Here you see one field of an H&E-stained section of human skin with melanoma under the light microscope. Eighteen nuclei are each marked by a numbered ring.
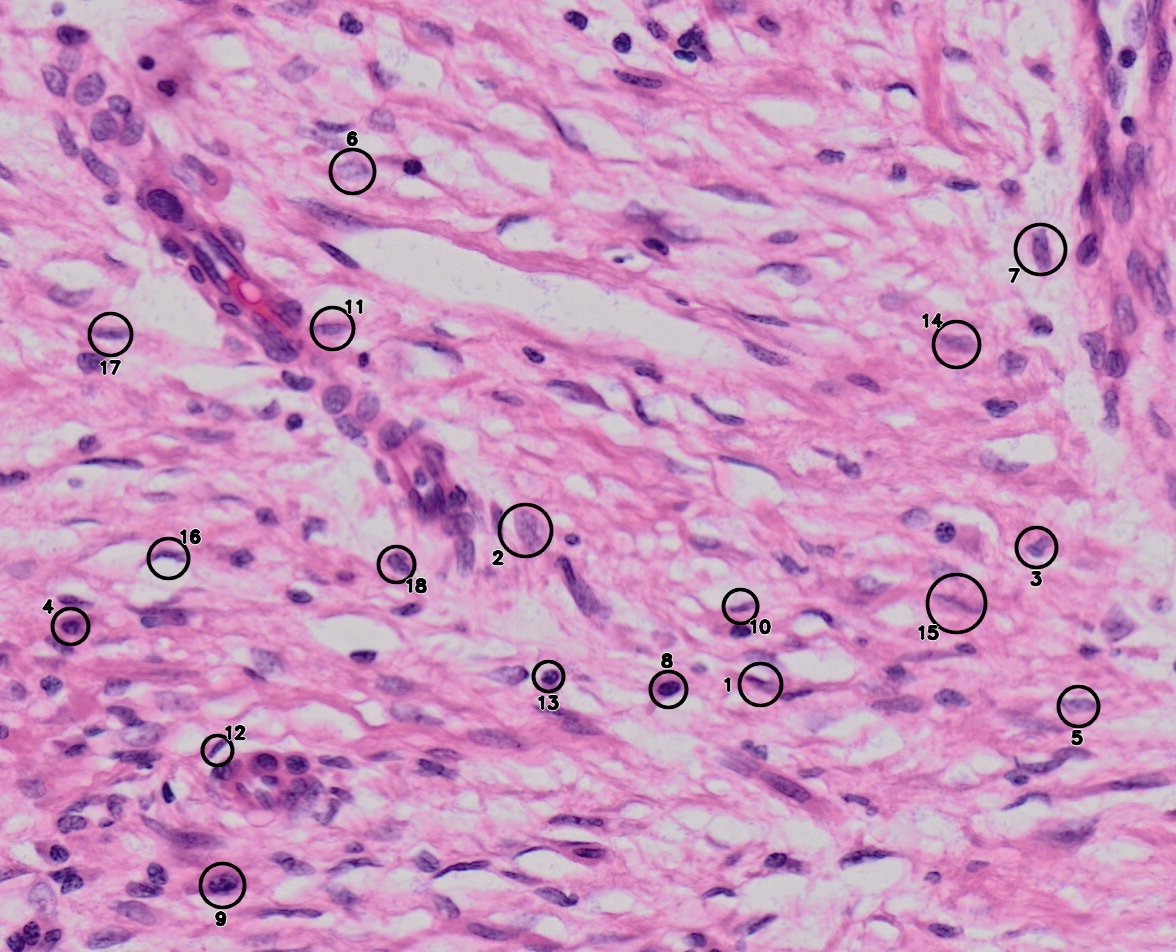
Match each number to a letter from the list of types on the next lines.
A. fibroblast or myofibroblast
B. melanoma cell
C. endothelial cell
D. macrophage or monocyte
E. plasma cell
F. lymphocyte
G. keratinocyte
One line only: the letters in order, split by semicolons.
A; A; D; E; A; A; D; E; E; A; D; A; E; A; A; A; A; D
